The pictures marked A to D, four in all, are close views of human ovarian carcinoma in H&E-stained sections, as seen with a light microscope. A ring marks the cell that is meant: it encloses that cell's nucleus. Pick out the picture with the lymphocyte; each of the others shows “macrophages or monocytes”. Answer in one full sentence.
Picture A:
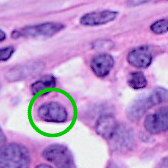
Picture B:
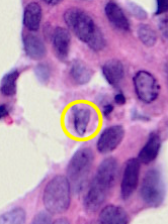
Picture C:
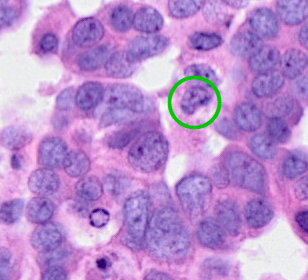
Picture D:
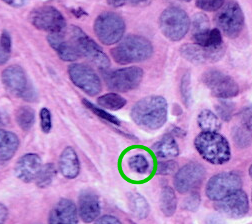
Picture D is the one that shows the lymphocyte.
